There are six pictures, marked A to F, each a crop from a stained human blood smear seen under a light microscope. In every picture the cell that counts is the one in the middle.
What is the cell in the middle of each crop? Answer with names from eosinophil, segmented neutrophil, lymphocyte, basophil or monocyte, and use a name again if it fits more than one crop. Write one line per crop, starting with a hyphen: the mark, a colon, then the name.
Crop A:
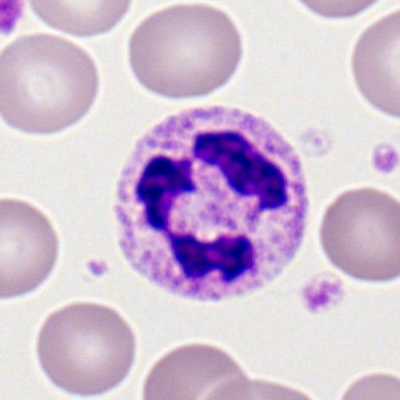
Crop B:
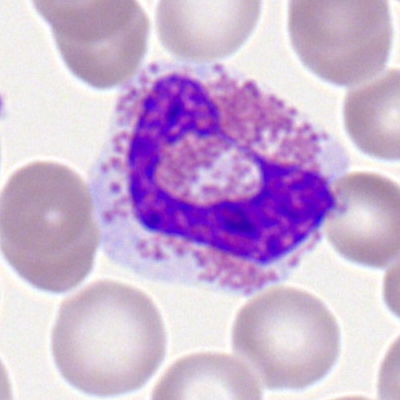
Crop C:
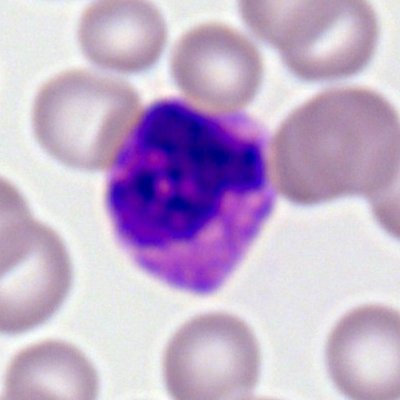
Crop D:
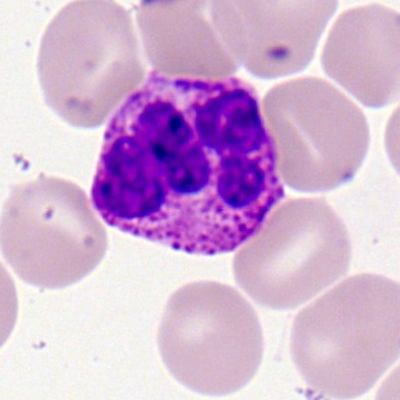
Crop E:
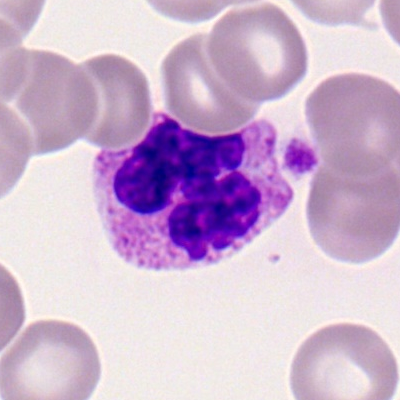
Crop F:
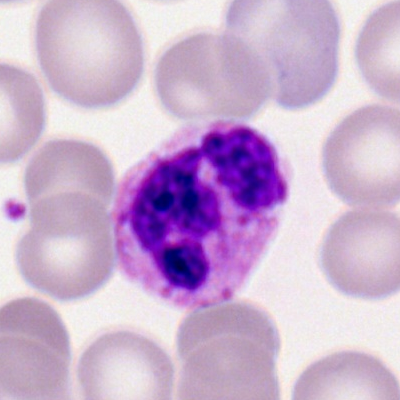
- A: segmented neutrophil
- B: eosinophil
- C: basophil
- D: basophil
- E: basophil
- F: basophil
